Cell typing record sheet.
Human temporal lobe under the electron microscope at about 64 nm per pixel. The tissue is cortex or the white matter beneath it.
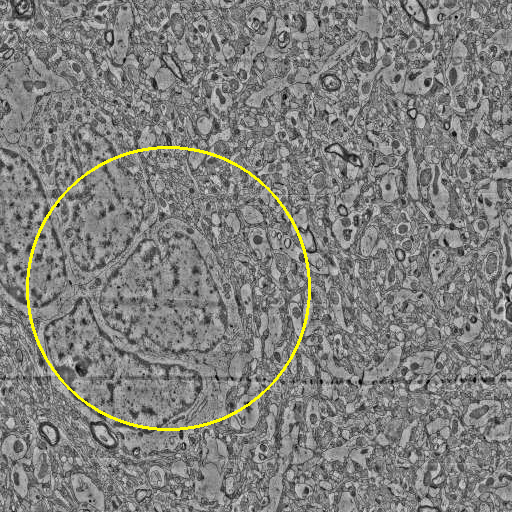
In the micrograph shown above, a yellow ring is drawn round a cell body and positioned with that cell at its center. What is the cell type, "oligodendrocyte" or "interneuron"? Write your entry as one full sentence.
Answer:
The cell body at the center of the ring belongs to an interneuron.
